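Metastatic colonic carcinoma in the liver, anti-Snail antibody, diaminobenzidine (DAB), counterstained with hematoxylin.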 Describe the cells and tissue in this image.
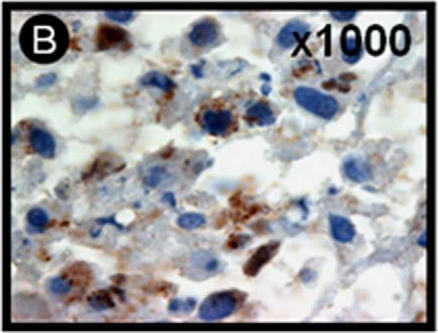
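This is the necrotic core of a tumor, where cells are scattered loosely in pale, frayed material. Many nuclei are small, dark blue and dense, some irregular or angular, and lie apart from one another rather than in crowded clusters. Cell borders are mostly lost, and the background is a pale grey-blue meshwork with clear spaces. Brown granular material is scattered among the cells, some of it overlying nuclei and some lying free as clumps. A few cells are stained uniformly dark brown. The orderly, tightly packed arrangement of living tumor is absent.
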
